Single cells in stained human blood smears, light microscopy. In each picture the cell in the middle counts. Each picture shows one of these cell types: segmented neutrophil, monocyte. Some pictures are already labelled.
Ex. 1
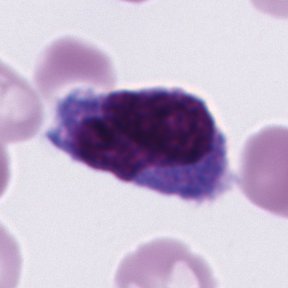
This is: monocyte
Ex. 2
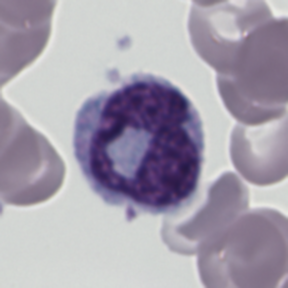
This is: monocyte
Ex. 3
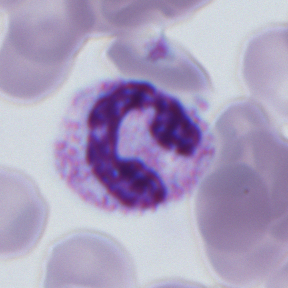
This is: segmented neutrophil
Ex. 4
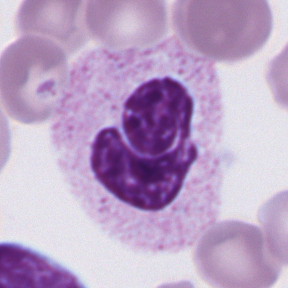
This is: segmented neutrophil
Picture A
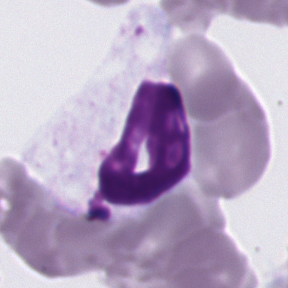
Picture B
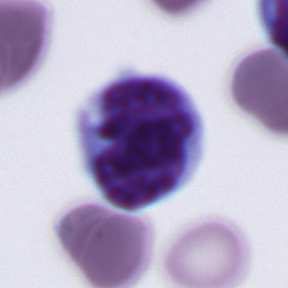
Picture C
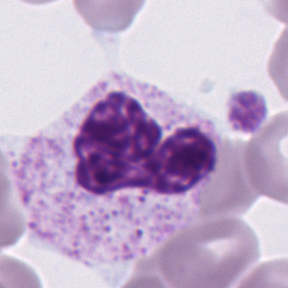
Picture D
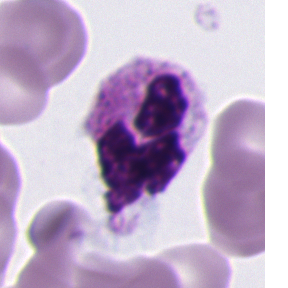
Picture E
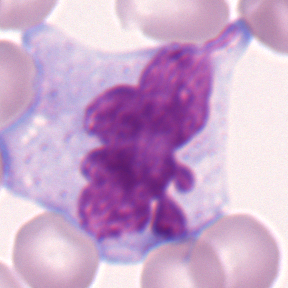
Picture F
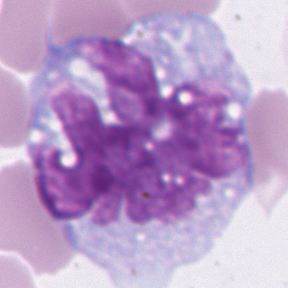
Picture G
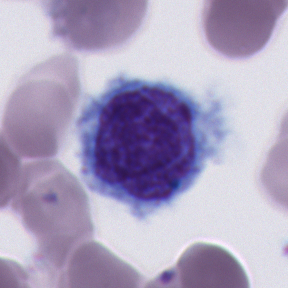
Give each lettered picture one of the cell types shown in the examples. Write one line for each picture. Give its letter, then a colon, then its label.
A: segmented neutrophil
B: monocyte
C: segmented neutrophil
D: segmented neutrophil
E: monocyte
F: monocyte
G: monocyte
